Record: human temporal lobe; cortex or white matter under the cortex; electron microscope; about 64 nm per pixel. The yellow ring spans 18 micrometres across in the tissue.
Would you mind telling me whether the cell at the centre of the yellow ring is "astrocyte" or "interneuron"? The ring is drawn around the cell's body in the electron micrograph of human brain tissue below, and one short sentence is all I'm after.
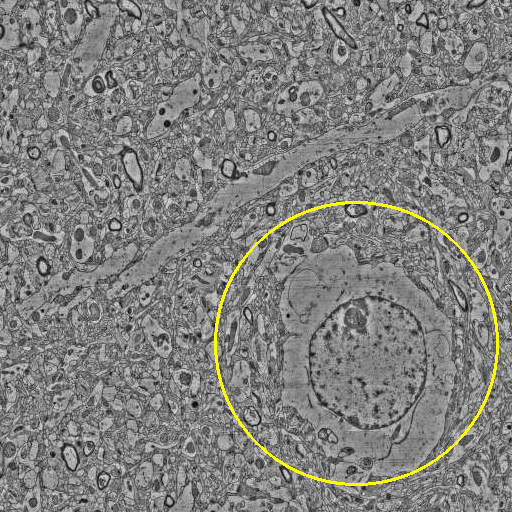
In the centre of the ring lies an astrocyte.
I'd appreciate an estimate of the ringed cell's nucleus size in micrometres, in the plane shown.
About 8 micrometers across, in this plane.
